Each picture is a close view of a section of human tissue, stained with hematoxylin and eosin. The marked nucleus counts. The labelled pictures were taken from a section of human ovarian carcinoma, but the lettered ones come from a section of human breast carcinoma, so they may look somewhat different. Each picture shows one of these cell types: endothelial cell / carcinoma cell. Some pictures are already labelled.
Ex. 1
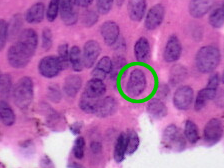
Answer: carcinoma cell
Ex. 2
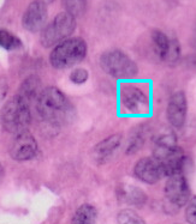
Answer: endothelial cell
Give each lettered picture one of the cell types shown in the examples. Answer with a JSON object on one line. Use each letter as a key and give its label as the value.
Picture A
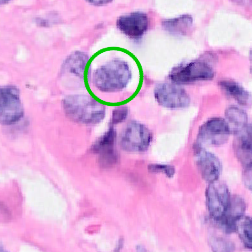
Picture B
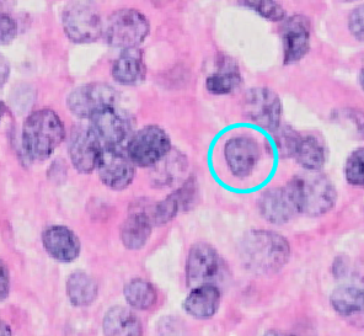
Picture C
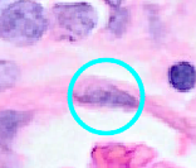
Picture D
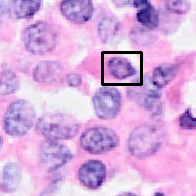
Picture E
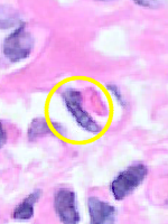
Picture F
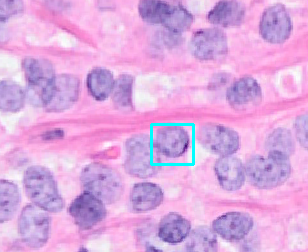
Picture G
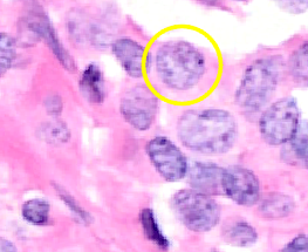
{"A": "carcinoma cell", "B": "carcinoma cell", "C": "endothelial cell", "D": "carcinoma cell", "E": "endothelial cell", "F": "carcinoma cell", "G": "carcinoma cell"}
